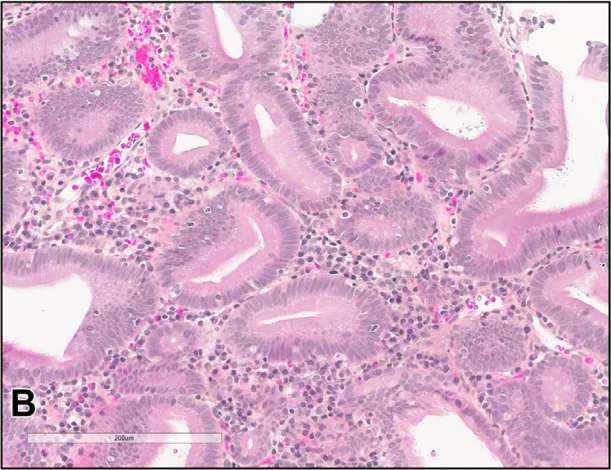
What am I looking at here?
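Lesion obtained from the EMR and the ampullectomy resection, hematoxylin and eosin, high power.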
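This is dysplastic glandular epithelium with crowded, irregularly shaped glands set in a stroma rich in small round inflammatory cells and scattered red blood cells. The tall columnar cells lining the glands have elongated, purple nuclei that are crowded and stratified, lying at different heights in the cell layer. The cytoplasm is pale pink, and the glands vary in size and outline with narrow or open lumens.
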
